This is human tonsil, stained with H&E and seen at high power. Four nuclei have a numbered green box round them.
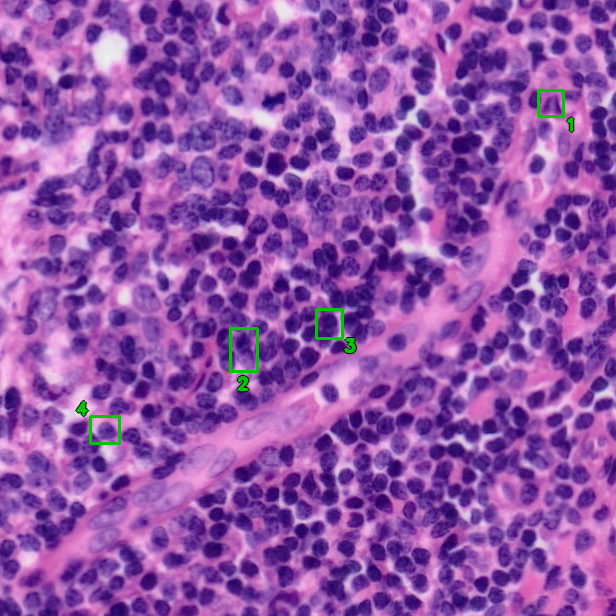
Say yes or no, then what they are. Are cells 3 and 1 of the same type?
No, here cell 3 is a small lymphocyte, whereas cell 1 is an endothelial cell.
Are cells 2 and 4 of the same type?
Yes, cells number 2 and number 4 are both small lymphocytes.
